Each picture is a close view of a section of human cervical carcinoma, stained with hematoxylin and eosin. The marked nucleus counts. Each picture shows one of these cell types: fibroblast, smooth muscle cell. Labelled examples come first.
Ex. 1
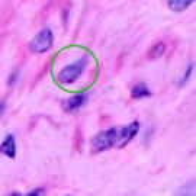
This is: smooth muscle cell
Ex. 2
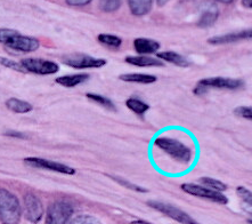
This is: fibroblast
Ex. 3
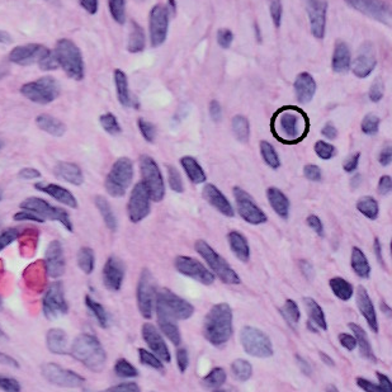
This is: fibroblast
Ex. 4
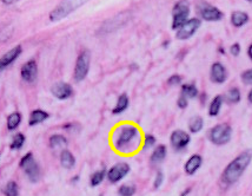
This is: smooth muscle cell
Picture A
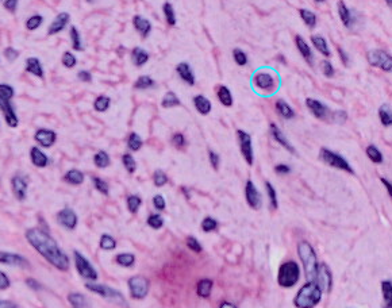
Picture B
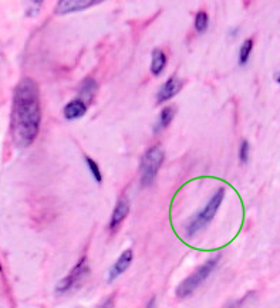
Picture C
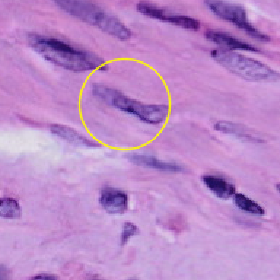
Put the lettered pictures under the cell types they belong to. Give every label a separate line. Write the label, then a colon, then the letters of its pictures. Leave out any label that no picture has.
fibroblast: B, C
smooth muscle cell: A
